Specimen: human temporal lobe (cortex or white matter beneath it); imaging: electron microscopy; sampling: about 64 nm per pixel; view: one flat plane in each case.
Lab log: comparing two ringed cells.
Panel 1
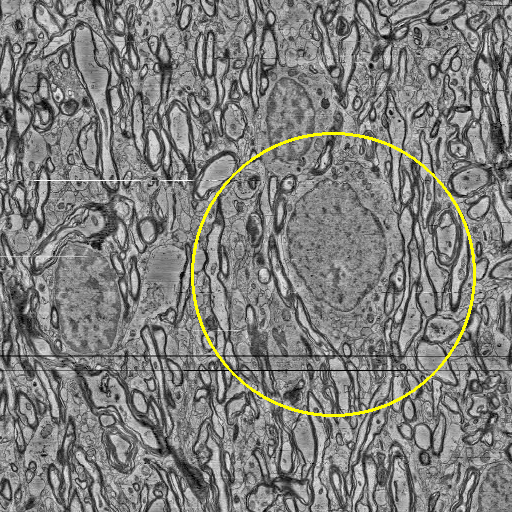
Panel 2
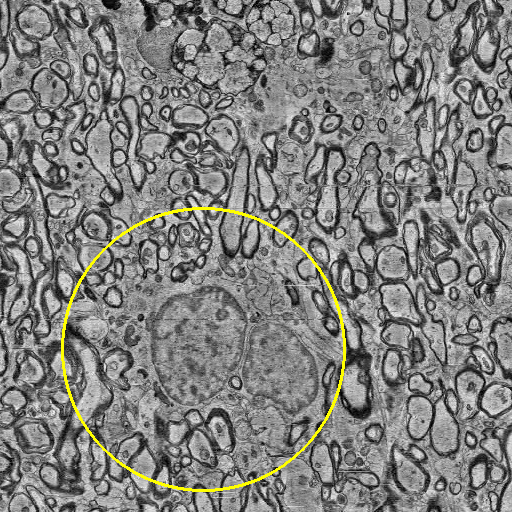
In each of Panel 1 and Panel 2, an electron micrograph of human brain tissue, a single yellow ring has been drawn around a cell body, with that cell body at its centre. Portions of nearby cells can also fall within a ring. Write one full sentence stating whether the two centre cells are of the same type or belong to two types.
The cells at the ring centres in Panel 1 and Panel 2 belong to two types.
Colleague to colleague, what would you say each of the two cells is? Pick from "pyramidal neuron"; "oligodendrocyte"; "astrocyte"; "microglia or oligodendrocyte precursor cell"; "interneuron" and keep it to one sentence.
The cell in the first picture is an astrocyte; the second picture's cell is an oligodendrocyte.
